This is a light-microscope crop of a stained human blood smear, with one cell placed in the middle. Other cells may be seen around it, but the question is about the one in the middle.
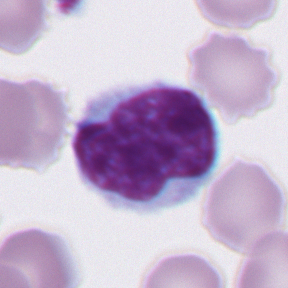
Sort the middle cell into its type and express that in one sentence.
The cell centred in this crop is categorized as a typical lymphocyte.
